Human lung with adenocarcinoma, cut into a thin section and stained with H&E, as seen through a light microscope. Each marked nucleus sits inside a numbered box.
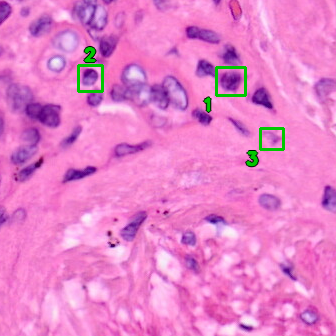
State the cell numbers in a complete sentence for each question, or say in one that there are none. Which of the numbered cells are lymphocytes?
Cell 2 is the only one of the numbered cells that is a lymphocyte.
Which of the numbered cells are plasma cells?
The numbered cells include exactly one that is a plasma cell, which is cell 1.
